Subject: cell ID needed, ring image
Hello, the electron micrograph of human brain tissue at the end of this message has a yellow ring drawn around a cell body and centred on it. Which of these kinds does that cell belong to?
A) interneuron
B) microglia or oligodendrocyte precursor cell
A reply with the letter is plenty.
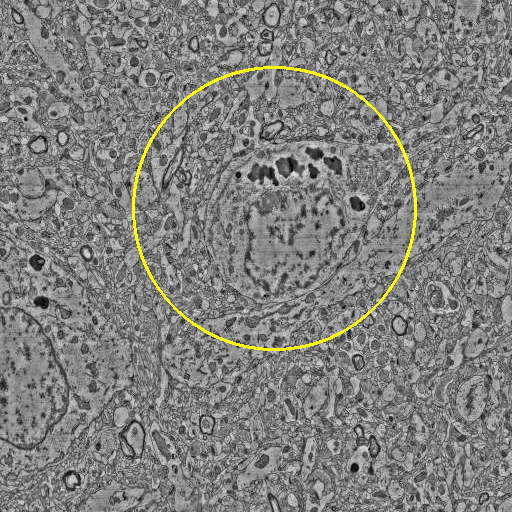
A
